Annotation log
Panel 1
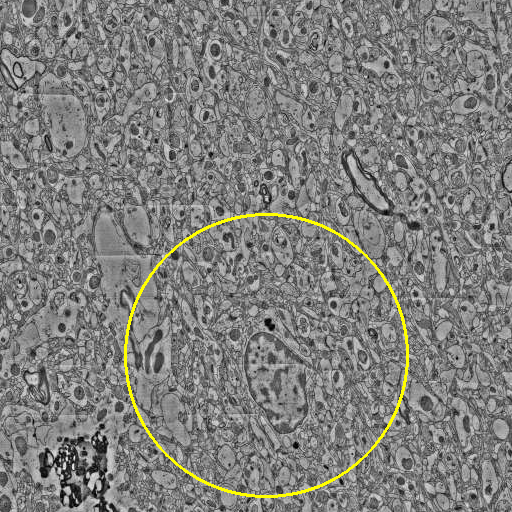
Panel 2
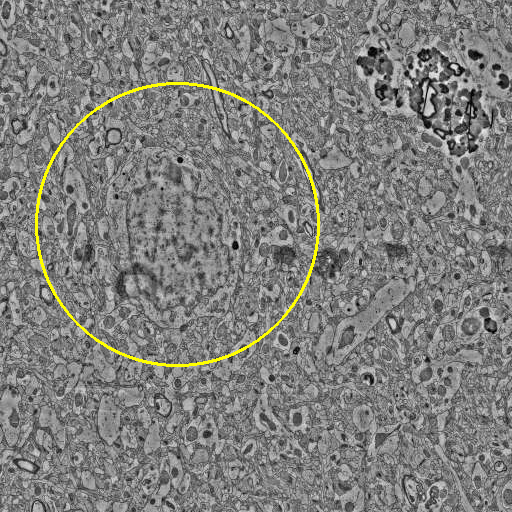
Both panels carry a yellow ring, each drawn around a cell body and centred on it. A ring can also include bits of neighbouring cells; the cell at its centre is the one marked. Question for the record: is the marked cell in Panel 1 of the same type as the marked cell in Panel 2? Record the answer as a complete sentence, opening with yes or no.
No, the marked cells in Panel 1 and Panel 2 are of two types.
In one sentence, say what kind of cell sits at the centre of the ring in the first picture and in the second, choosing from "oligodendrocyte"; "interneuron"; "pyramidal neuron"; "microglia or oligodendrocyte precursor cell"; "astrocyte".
The first picture's ringed cell is a microglial cell or oligodendrocyte precursor cell, while the second picture's is an interneuron.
